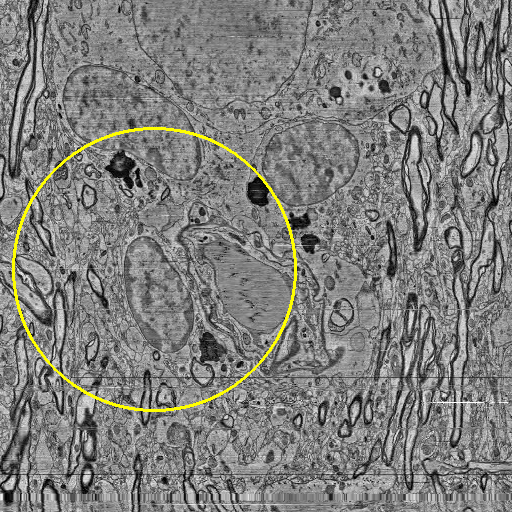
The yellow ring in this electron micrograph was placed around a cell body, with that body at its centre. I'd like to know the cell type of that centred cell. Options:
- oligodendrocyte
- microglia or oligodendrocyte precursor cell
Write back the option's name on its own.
microglia or oligodendrocyte precursor cell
